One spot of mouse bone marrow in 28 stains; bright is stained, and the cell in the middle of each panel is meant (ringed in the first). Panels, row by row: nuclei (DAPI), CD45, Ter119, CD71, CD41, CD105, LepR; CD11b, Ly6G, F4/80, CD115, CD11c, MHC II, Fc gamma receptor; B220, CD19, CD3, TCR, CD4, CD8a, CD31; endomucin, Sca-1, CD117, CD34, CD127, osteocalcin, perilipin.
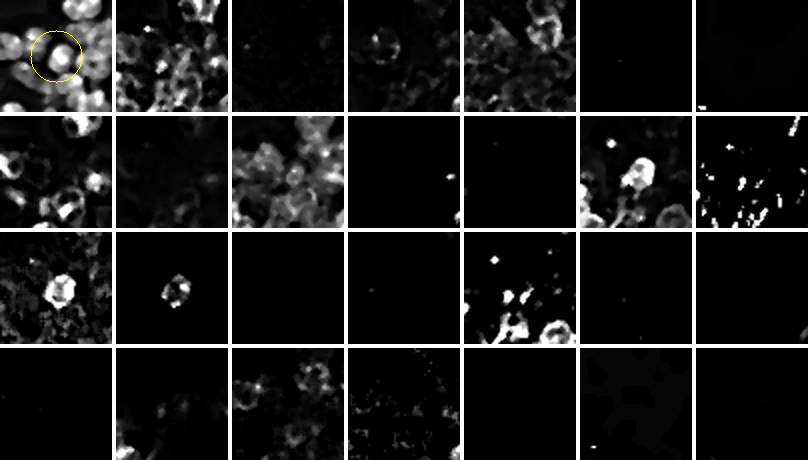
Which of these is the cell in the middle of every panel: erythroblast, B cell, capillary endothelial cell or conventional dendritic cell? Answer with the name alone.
B cell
